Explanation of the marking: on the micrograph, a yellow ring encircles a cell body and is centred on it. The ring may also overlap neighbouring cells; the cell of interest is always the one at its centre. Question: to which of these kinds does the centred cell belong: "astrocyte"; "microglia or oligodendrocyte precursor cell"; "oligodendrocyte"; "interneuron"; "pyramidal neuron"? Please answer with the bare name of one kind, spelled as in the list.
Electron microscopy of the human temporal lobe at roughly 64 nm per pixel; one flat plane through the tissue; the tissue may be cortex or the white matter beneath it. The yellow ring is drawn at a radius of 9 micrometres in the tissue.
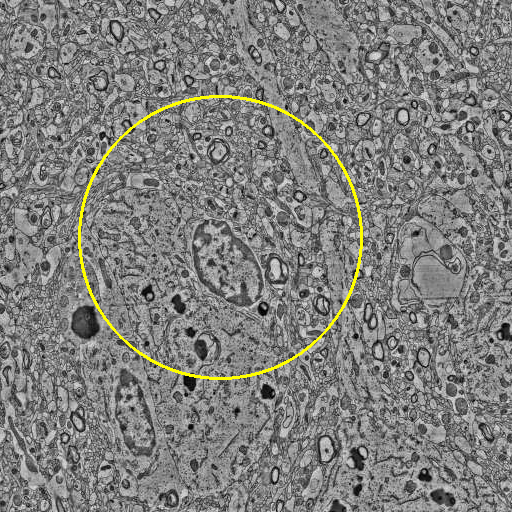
microglia or oligodendrocyte precursor cell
